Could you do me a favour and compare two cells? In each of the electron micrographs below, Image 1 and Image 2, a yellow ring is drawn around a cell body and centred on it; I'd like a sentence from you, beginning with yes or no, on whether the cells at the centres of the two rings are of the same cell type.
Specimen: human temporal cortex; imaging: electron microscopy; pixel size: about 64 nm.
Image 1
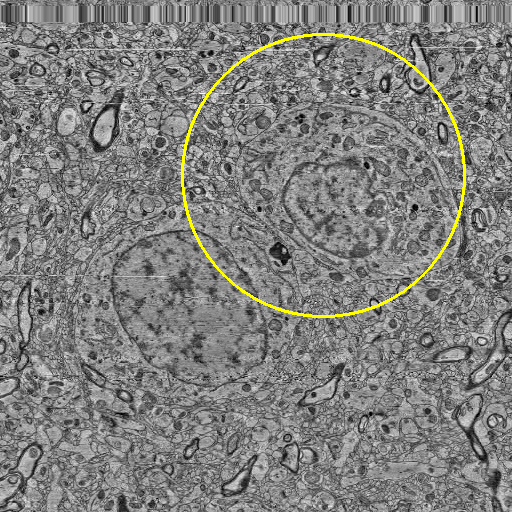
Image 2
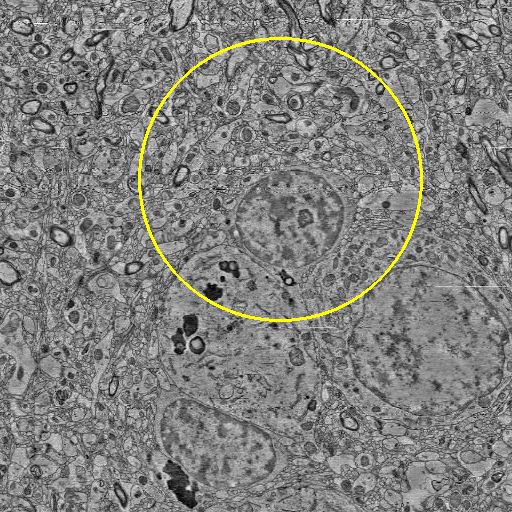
No, the two cells are of two cell types.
